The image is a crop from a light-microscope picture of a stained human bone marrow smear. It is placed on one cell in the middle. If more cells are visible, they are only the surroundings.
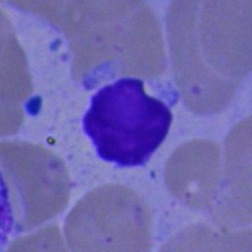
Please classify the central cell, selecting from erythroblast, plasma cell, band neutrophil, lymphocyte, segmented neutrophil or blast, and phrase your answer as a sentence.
The cell shown in the center of this light-microscope crop is a lymphocyte.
